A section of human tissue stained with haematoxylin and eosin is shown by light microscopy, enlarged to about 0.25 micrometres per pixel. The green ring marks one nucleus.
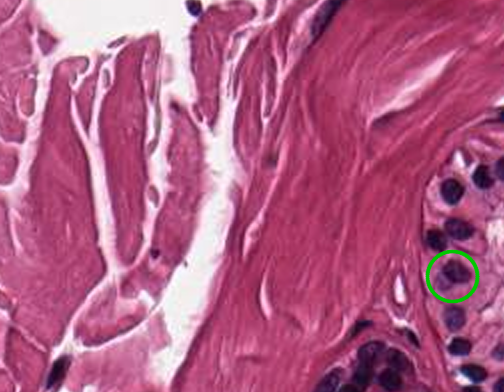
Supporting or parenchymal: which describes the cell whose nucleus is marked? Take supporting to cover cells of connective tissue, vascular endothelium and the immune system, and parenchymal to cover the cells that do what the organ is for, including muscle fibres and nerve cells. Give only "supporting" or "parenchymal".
parenchymal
